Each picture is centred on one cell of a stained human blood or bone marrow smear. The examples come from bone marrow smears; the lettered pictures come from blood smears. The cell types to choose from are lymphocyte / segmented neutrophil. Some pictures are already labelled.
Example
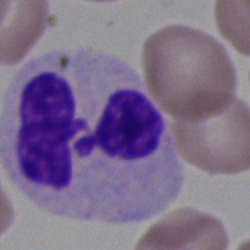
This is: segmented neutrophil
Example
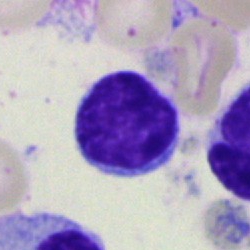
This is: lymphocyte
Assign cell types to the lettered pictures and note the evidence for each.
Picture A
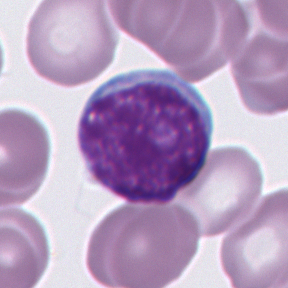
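lymphocyte. Evidence: The cytoplasm forms only a thin rim around the nucleus.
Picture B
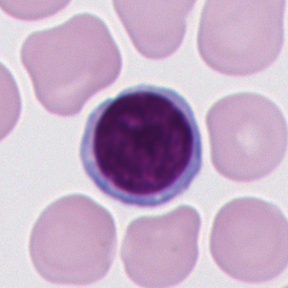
lymphocyte. Evidence: The nucleus fills most of the cell.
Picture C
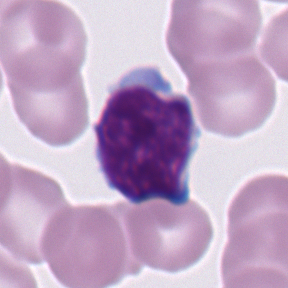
lymphocyte. Evidence: The cytoplasm is scant and shows mainly as a small cap at the top edge of the cell.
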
